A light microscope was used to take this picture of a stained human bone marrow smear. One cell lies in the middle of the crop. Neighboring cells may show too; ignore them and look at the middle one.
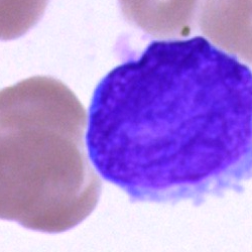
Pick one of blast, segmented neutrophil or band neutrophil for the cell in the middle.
blast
